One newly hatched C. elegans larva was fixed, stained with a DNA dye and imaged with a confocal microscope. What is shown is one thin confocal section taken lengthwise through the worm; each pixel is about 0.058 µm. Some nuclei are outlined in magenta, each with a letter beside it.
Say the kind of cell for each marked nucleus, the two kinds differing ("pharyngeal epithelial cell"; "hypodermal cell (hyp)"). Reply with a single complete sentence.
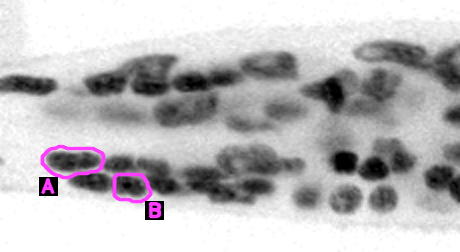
B belongs to a hypodermal cell (hyp), and A to a pharyngeal epithelial cell.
